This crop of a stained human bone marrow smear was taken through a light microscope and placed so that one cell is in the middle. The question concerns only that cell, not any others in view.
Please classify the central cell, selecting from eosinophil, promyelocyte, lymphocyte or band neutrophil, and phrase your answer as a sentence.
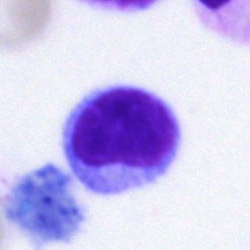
To answer, the cell in the center of the crop is a lymphocyte.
